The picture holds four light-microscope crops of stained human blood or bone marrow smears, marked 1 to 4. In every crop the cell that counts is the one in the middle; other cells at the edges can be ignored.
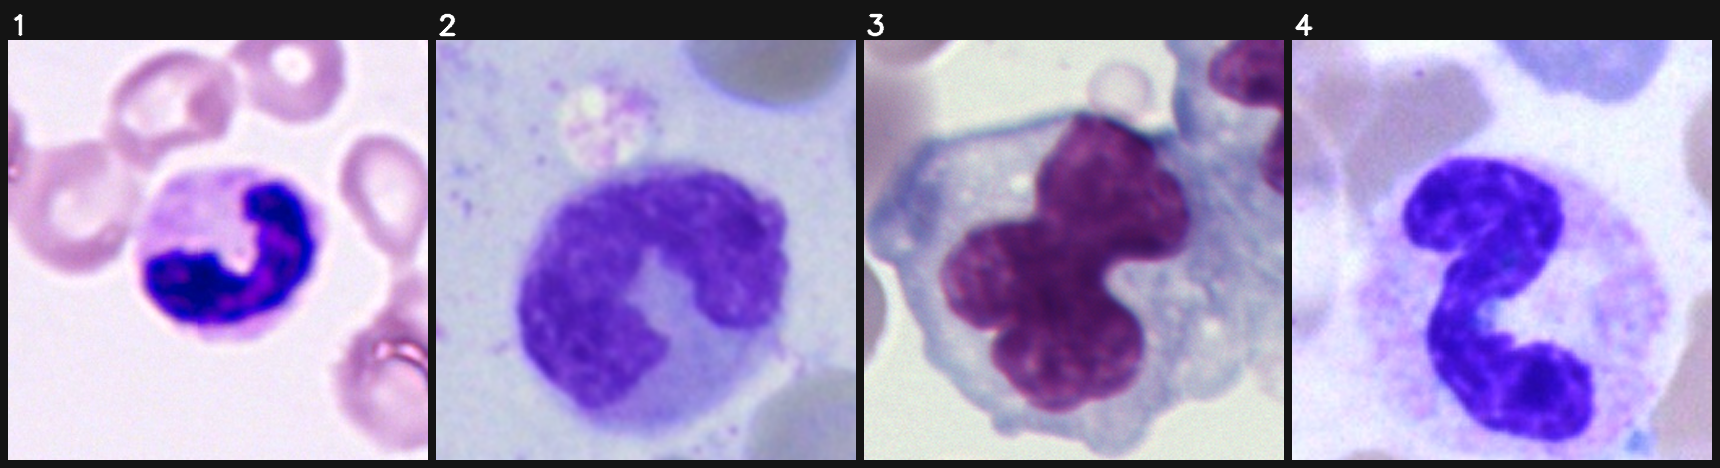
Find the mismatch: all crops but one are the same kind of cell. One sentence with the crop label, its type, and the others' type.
The central cell of crop 3 is a monocyte, while the other crops show band neutrophils.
